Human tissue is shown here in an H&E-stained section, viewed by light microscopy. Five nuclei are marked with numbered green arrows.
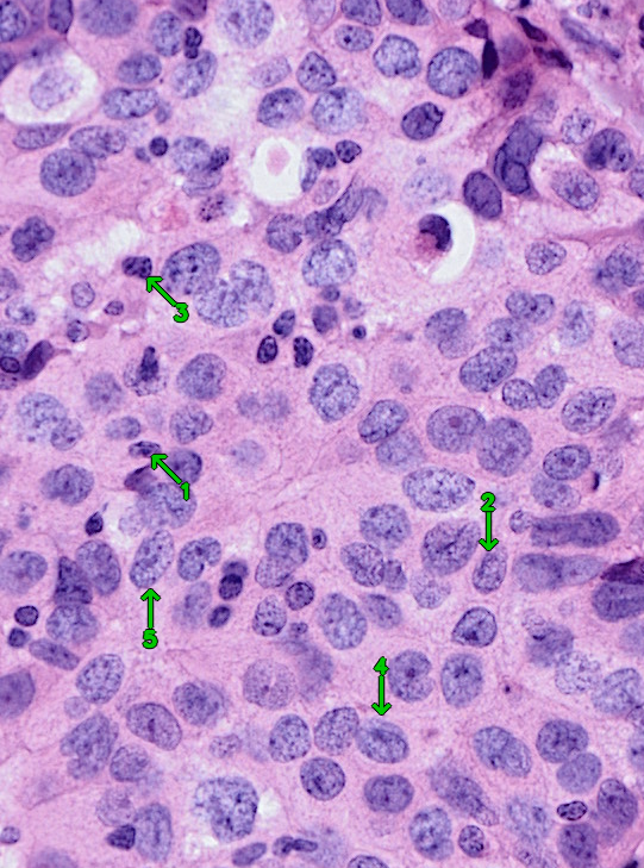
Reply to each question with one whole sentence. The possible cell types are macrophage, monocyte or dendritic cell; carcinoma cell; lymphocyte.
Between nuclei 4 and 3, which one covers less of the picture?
It is nucleus 3; nucleus 4 has about 3 times its area.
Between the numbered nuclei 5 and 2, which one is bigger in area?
At about 1.5 times the area of nucleus 2, nucleus 5 is the larger of the two.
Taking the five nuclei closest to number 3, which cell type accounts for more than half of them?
Most of the five nuclei nearest to number 3 are those of macrophages, monocytes or dendritic cells.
